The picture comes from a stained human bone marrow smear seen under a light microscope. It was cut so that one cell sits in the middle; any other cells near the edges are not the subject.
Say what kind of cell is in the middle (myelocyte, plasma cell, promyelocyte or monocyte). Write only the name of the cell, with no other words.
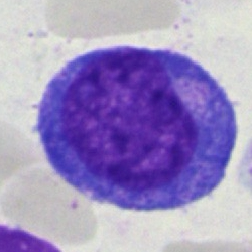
promyelocyte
